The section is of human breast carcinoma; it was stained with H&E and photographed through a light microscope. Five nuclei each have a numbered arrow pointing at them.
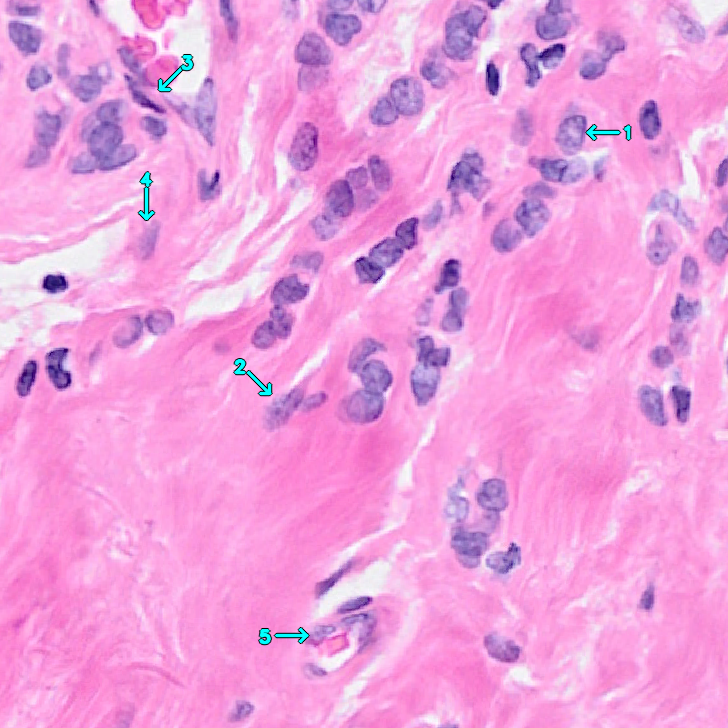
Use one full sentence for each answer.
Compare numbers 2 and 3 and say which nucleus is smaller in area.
The smaller nucleus is 3, and 2 covers roughly 2 times its area.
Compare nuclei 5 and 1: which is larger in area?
Number 1 is larger; its area is about 3 times that of number 5.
